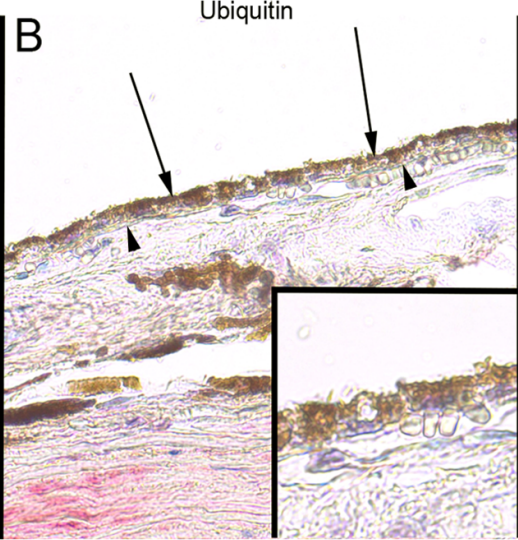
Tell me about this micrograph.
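The top of the section is lined by the retinal pigment epithelium, a single row of cells whose cytoplasm is filled with dark brown granules. Beneath it runs Bruch’s membrane, a thin band on which the epithelium rests. Below lies loose, fibrous tissue with elongated dark brown pigmented cells and a pink-tinged area toward the bottom. In the inset the granular epithelial layer is seen at higher power above small round pale cells.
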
